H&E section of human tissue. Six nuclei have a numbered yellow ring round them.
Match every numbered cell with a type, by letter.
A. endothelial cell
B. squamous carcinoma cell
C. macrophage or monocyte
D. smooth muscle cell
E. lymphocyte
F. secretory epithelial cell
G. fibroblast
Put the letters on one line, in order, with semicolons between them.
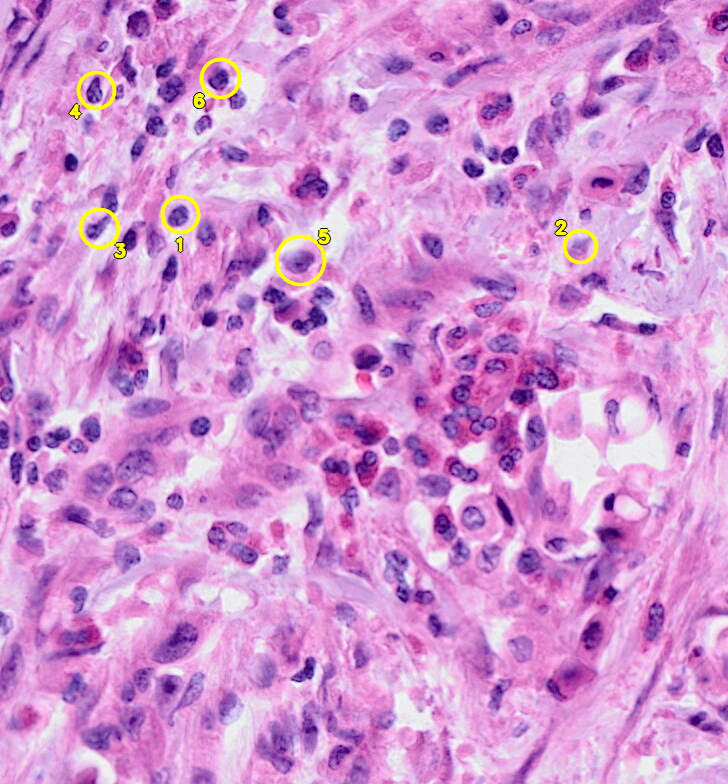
E; G; E; E; C; E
